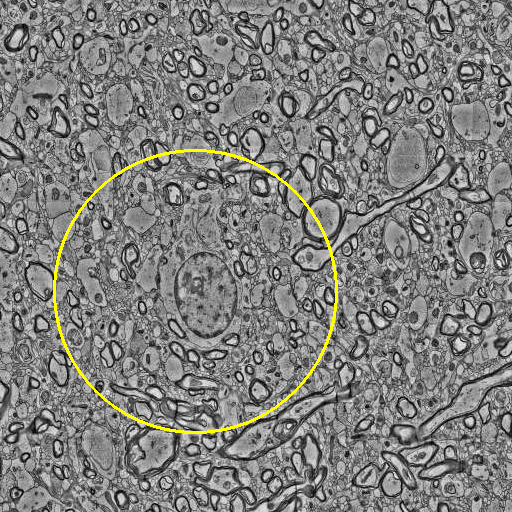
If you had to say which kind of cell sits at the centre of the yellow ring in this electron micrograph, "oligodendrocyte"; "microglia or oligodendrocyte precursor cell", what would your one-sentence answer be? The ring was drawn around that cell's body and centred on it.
The cell sitting at the centre of the ring is a microglial cell or oligodendrocyte precursor cell.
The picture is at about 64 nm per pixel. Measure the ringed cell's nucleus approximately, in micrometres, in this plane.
In this plane, the nucleus of the cell at the centre of the ring measures about 5 by 4 micrometres.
